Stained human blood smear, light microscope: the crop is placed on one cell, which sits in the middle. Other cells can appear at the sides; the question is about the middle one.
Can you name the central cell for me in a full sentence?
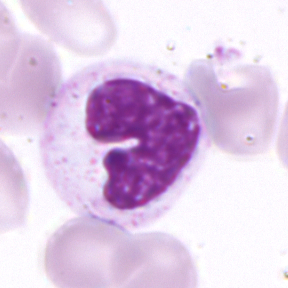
The crop shows a band neutrophil in its centre.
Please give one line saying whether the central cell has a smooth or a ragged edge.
No projections interrupt the outline; it is smooth all the way round.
